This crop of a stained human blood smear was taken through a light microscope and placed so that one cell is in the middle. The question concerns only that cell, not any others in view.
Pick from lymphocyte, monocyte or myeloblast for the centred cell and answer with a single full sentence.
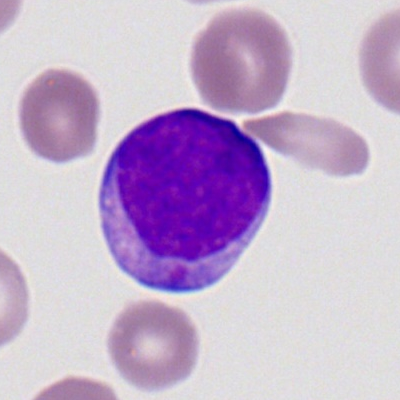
To answer, the cell in the center of the crop is a myeloblast.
